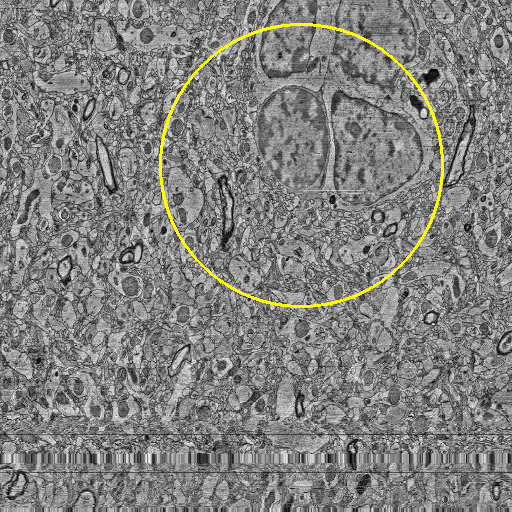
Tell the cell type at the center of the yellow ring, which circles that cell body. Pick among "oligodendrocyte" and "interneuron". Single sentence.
The ring is centered on the body of an oligodendrocyte.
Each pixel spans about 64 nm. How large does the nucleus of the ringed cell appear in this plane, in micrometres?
In this plane, approximately 6 by 4 micrometers.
